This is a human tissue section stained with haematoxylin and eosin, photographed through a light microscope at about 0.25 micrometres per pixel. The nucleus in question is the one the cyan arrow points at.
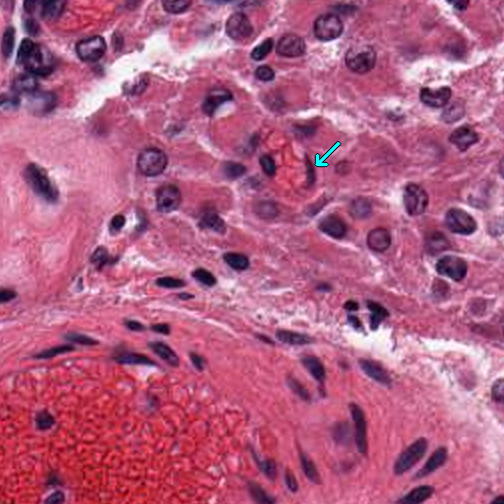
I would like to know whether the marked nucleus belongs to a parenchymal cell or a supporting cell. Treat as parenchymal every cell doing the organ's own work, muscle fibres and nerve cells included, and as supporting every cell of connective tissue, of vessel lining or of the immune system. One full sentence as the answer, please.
In this field, the marked nucleus is the nucleus of a supporting cell.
